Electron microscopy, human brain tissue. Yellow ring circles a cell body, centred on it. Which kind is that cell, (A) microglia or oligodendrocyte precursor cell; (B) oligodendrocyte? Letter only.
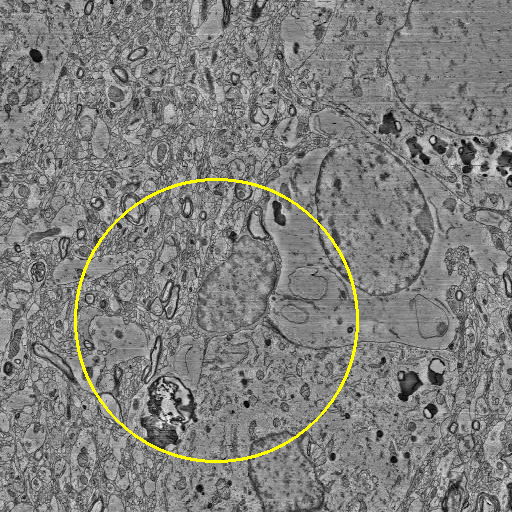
B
